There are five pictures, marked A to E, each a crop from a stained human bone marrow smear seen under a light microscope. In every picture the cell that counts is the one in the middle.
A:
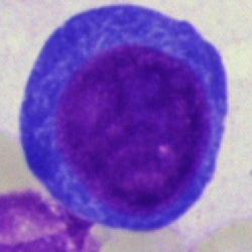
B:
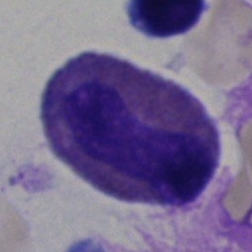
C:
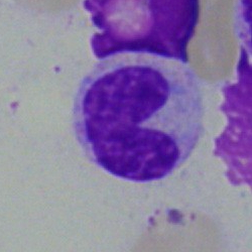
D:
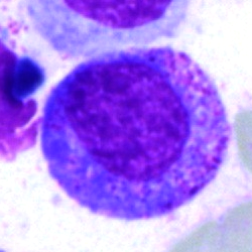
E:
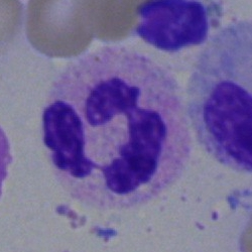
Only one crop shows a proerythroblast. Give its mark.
A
